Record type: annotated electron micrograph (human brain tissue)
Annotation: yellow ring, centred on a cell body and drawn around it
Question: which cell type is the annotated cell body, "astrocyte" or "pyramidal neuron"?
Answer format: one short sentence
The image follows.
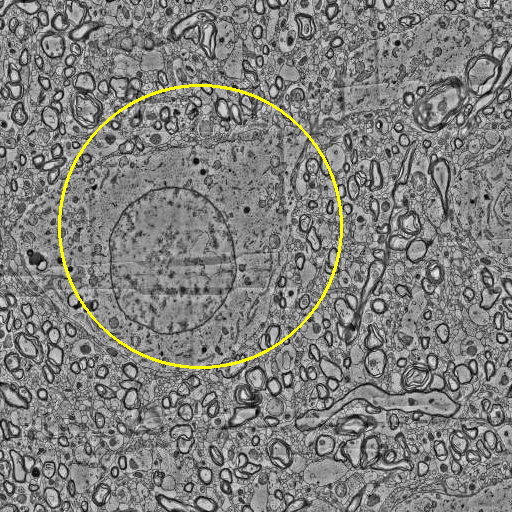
The annotated cell body is that of a pyramidal neuron.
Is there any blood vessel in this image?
No, no blood vessel can be seen.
